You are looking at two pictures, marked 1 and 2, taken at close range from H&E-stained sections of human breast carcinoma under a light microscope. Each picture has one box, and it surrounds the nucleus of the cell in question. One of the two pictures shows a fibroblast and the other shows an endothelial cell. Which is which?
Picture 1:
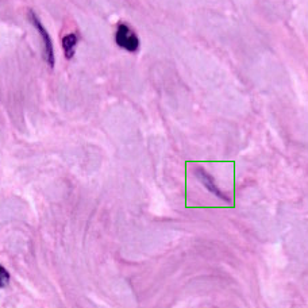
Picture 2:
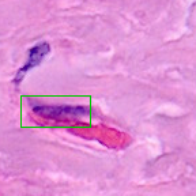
1: fibroblast
2: endothelial cell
